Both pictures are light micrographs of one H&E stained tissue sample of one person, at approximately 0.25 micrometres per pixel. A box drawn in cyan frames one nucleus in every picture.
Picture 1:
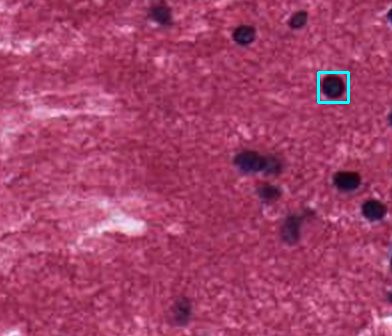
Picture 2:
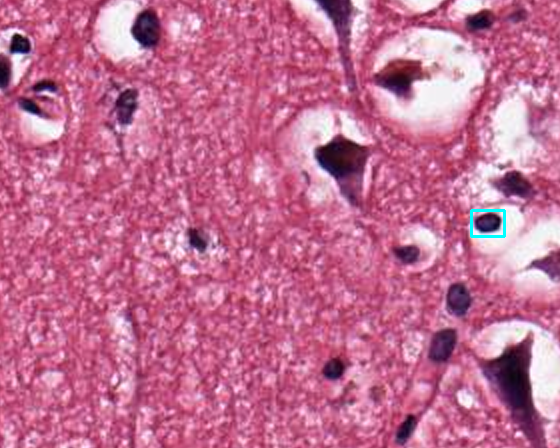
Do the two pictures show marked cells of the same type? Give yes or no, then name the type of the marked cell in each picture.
Yes, both are oligodendrocytes.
